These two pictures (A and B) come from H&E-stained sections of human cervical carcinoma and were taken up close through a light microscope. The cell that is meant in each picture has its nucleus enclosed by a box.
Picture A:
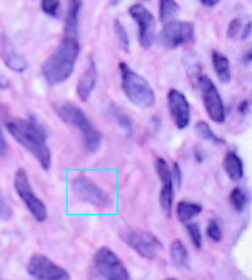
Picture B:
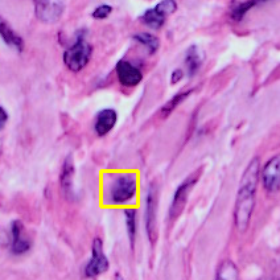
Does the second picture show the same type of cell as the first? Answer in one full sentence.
No, picture A shows a fibroblast and picture B shows a lymphocyte.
